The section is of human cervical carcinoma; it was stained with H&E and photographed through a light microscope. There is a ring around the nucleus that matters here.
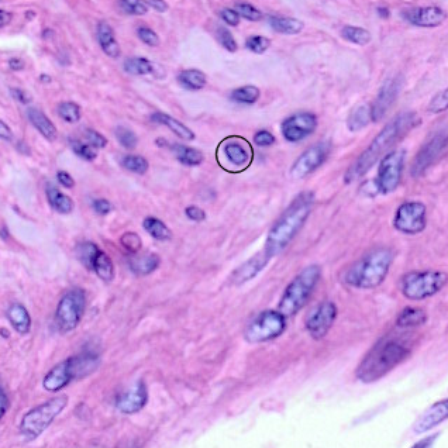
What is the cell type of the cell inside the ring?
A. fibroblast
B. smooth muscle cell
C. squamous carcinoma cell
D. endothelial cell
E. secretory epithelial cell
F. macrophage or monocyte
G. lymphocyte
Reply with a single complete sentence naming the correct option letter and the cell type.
The correct pick is option B; the cell inside the ring is a smooth muscle cell.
